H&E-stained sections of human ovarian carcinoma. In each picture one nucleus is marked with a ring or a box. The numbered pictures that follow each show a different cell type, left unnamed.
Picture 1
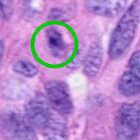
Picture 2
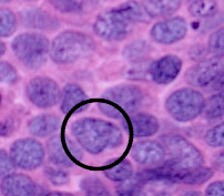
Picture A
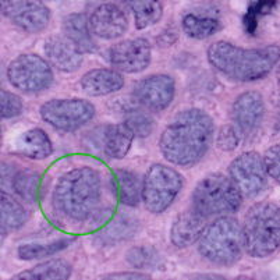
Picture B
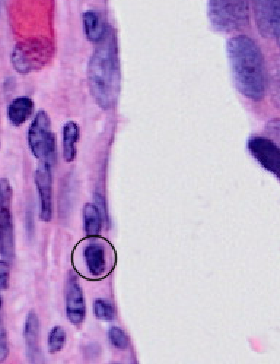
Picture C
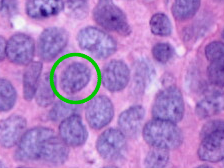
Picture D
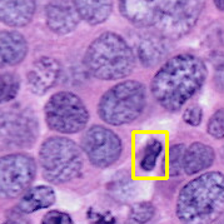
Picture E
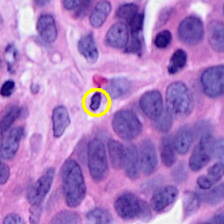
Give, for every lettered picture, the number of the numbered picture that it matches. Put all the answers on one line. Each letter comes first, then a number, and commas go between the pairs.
A 2, B 1, C 2, D 1, E 1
